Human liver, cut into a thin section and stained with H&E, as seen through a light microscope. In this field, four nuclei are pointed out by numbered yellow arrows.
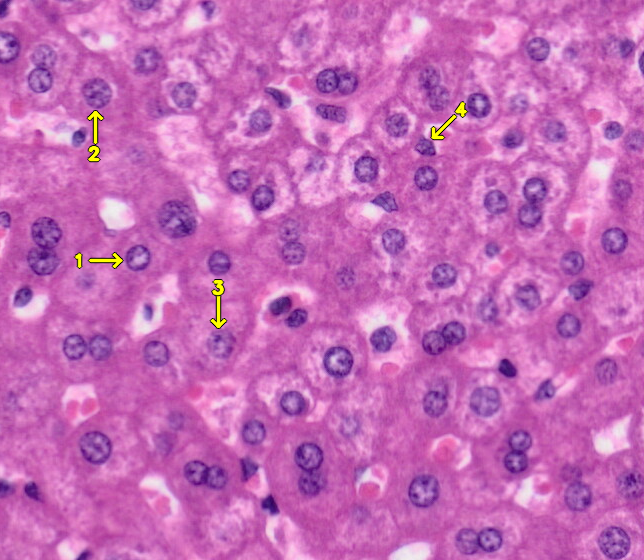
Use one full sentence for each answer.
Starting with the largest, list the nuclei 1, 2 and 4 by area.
By area, largest first, they run 2, 1, 4.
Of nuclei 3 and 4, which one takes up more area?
At about 2 times the area of nucleus 4, nucleus 3 is the larger of the two.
